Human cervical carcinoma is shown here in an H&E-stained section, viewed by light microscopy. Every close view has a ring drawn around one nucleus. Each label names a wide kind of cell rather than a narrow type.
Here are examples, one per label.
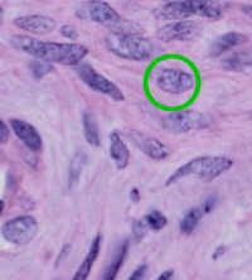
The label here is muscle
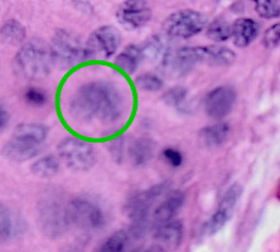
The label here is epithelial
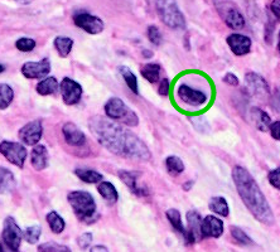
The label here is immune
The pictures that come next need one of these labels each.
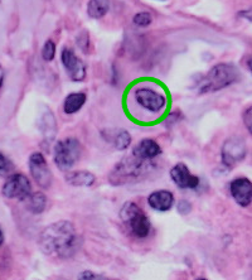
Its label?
immune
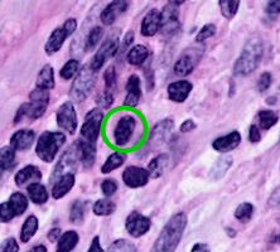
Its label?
immune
